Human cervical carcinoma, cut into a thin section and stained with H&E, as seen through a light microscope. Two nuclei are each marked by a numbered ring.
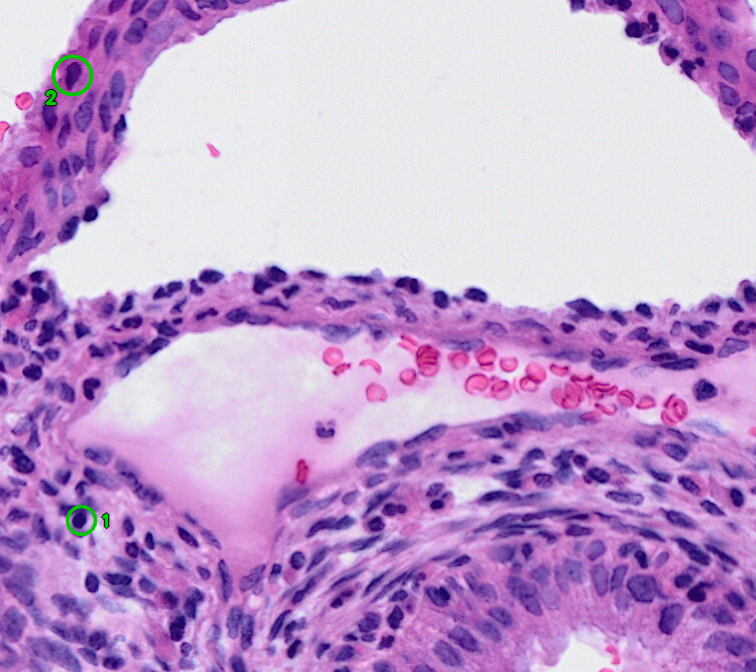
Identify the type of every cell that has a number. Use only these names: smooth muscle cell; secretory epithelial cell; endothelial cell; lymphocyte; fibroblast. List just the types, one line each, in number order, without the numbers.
lymphocyte
secretory epithelial cell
